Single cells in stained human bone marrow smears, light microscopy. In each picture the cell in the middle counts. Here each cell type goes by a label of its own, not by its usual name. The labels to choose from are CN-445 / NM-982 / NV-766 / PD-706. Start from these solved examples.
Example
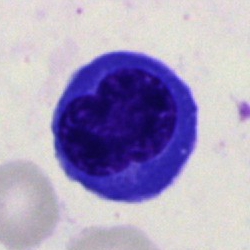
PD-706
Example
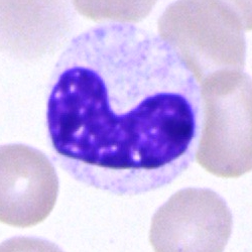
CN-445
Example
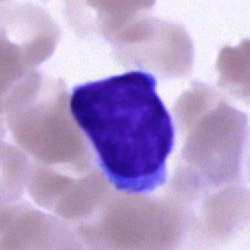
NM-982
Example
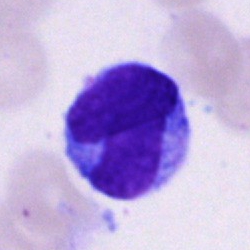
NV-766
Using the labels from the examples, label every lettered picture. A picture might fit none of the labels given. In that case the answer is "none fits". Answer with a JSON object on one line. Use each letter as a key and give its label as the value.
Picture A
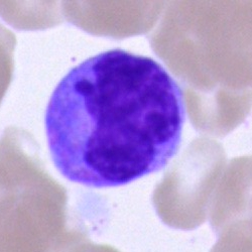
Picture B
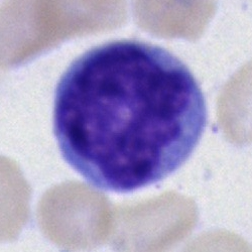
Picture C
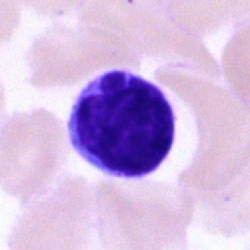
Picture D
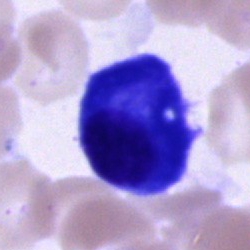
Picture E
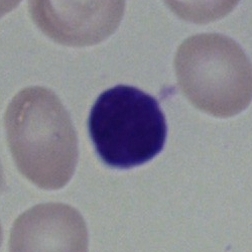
{"A": "NV-766", "B": "NV-766", "C": "NM-982", "D": "PD-706", "E": "NM-982"}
